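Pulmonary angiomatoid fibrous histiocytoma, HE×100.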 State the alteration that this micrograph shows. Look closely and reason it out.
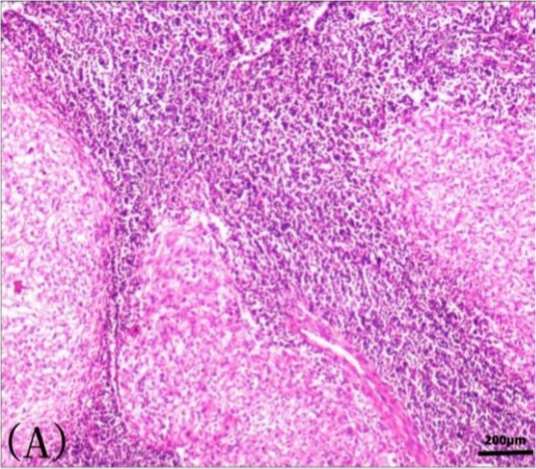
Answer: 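Nodular. Rounded pale pink areas are separated by bands of densely packed dark purple cells. The pale areas have curved, rounded borders.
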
